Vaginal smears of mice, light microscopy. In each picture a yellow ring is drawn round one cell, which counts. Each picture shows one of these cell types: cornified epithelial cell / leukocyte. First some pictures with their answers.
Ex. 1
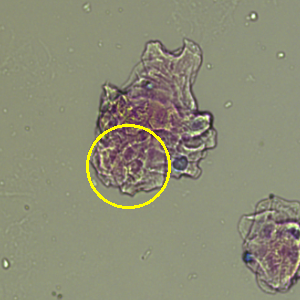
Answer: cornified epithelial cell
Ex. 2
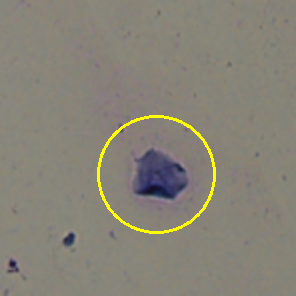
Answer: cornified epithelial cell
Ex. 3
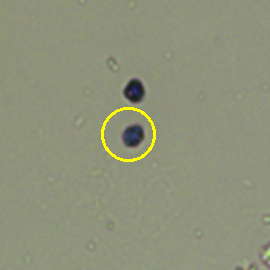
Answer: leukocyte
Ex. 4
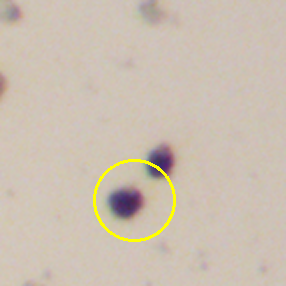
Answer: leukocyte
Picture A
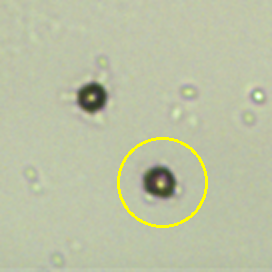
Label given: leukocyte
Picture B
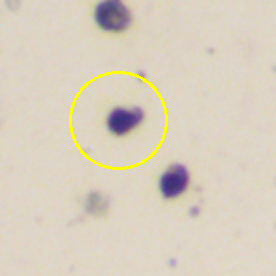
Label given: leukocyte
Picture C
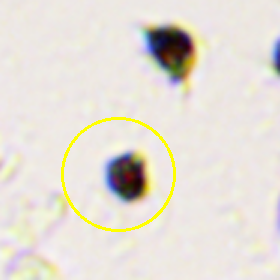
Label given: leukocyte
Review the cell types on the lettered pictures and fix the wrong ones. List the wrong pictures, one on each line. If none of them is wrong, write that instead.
No label is wrong.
